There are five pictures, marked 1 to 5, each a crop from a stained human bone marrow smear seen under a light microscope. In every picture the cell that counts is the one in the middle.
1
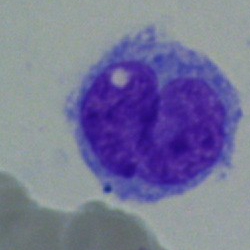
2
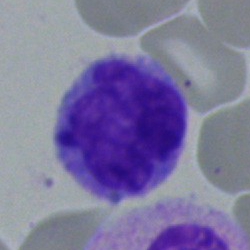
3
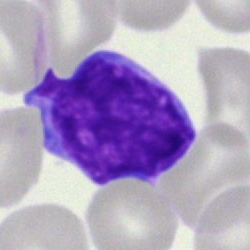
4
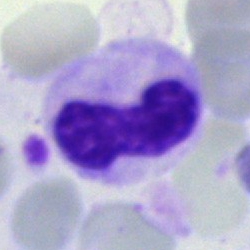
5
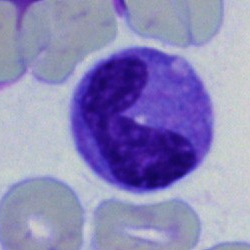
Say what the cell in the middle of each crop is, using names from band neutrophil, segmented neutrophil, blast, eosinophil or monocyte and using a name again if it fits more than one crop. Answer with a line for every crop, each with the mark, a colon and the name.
1: monocyte
2: monocyte
3: blast
4: band neutrophil
5: monocyte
